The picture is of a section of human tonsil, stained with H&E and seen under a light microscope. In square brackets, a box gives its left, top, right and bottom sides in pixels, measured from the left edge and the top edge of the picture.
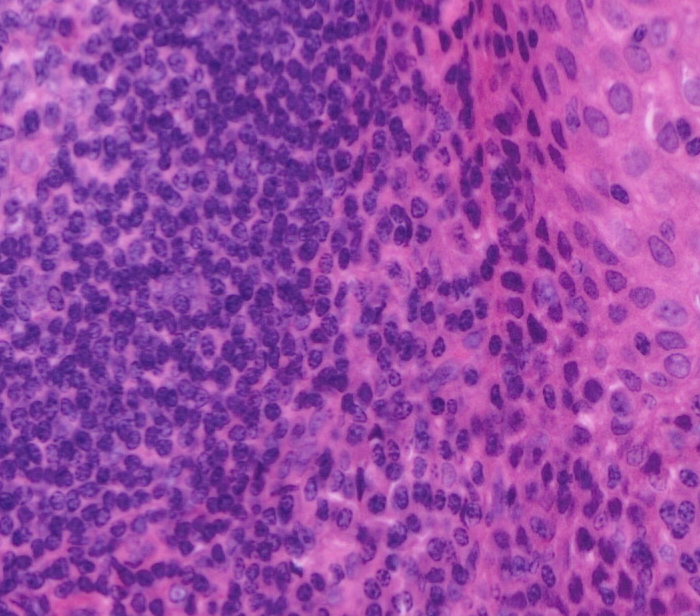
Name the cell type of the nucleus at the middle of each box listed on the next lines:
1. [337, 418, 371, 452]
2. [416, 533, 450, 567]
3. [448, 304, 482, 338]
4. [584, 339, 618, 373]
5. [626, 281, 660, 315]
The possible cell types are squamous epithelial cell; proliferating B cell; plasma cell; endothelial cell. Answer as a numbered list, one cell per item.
1. plasma cell
2. plasma cell
3. plasma cell
4. squamous epithelial cell
5. squamous epithelial cell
